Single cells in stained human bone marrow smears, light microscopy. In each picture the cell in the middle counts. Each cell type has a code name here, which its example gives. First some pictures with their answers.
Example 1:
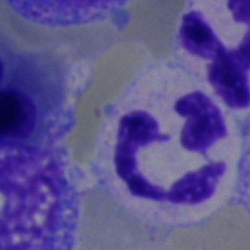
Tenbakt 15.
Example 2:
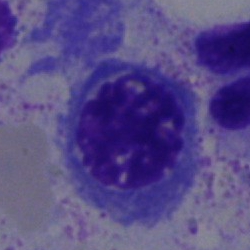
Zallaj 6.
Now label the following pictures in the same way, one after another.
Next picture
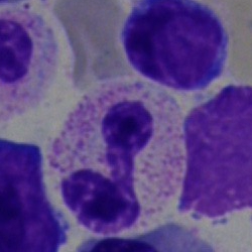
Tenbakt 15.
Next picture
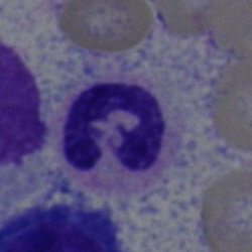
Tenbakt 15.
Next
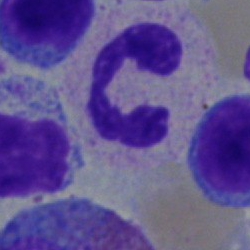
Tenbakt 15.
